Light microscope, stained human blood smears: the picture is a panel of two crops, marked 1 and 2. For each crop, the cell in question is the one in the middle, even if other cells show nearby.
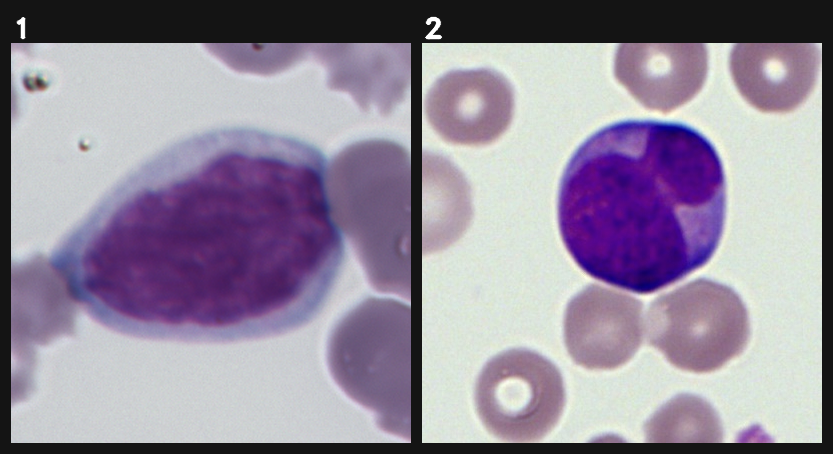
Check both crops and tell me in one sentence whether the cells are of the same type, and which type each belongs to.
Yes, both crops show blasts as their central cells.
